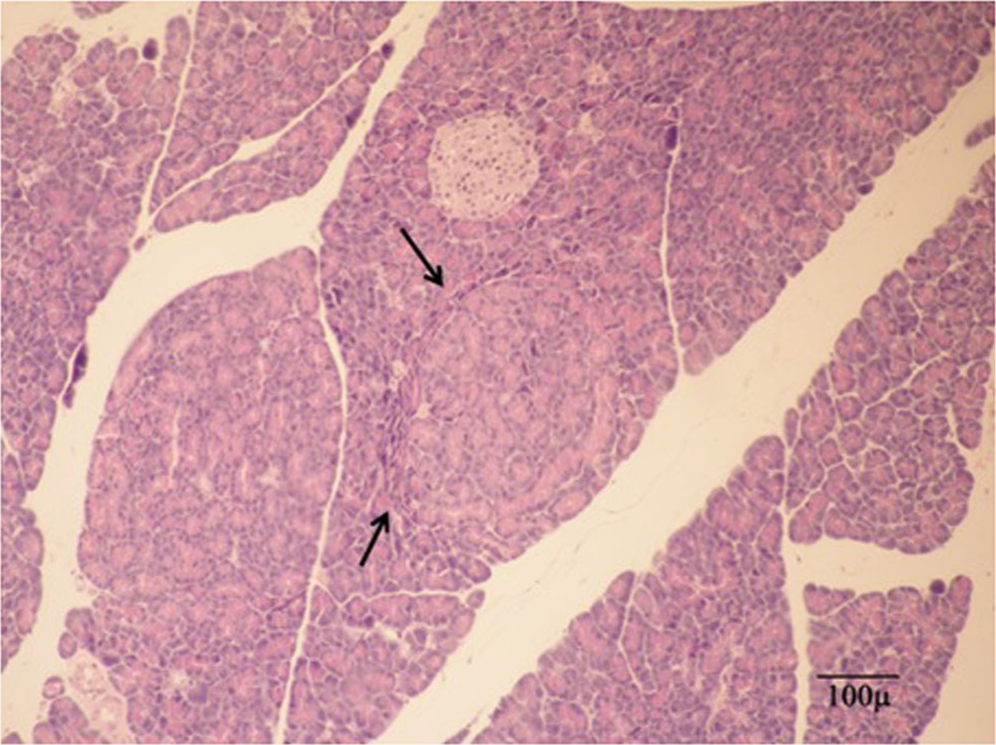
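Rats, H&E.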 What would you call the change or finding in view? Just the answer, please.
Atypic acinar cell focus.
